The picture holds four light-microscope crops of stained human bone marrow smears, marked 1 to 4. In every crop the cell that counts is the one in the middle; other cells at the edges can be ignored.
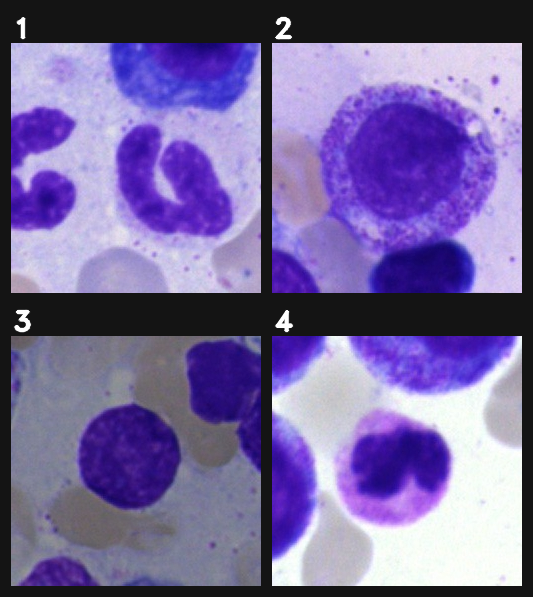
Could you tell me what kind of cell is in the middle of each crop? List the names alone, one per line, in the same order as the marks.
band neutrophil
promyelocyte
lymphocyte
basophil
